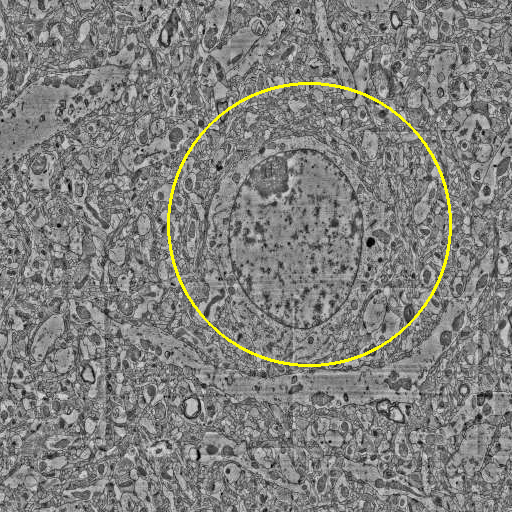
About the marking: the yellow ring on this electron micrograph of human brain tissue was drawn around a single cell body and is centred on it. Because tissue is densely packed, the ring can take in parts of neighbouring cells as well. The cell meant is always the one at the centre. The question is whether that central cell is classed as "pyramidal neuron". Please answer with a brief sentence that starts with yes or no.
Yes, the central cell is classed that way.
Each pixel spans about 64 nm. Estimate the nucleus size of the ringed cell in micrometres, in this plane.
About 11 by 9 micrometres in this plane.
